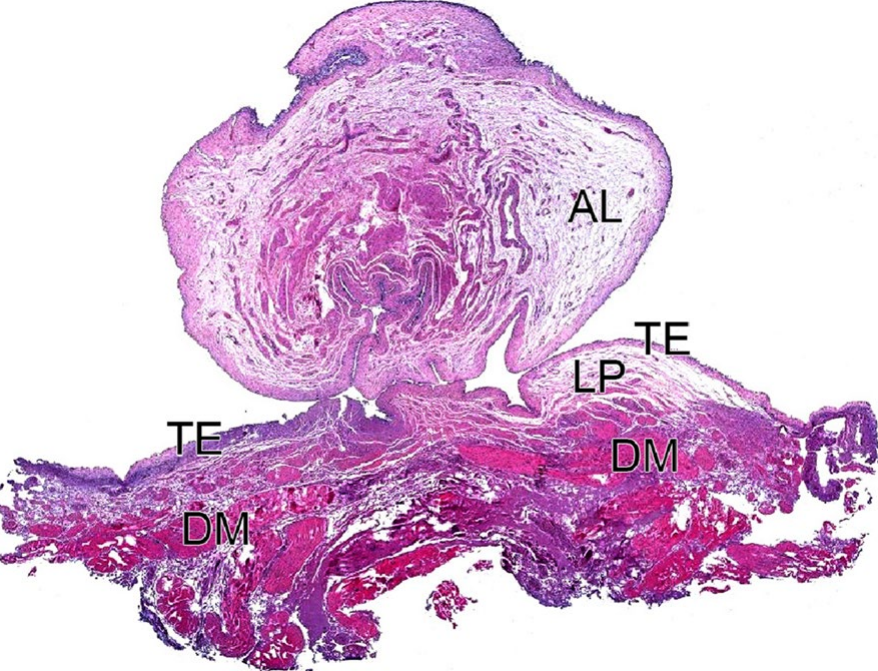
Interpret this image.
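This is a low-power section through the bladder wall, with its layers shown in order. On the surface lies a thin, darker purple epithelium with several layers of cells. Beneath it is a paler, loose connective tissue layer. Deepest of all are coarse, intensely pink bundles of smooth muscle running in different directions, cut both along and across. Above the wall sits a large rounded mass of pale, swirled, layered tissue with a wavy, folded, denser pink core. It is joined to the surface by a narrow stalk.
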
